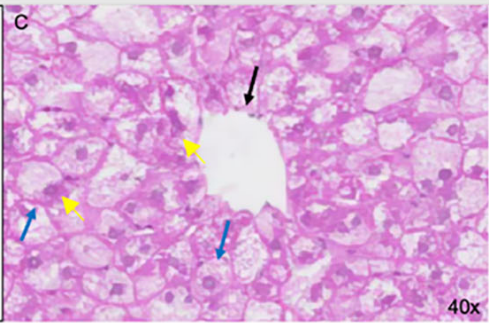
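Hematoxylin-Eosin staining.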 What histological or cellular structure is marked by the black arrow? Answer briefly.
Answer: Central lobular veins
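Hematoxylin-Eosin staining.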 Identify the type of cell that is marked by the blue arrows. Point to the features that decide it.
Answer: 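The arrowed cells are large, polygonal and swollen. Their cytoplasm is pale and clear rather than evenly pink.
Answer: bulging hepatocytes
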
